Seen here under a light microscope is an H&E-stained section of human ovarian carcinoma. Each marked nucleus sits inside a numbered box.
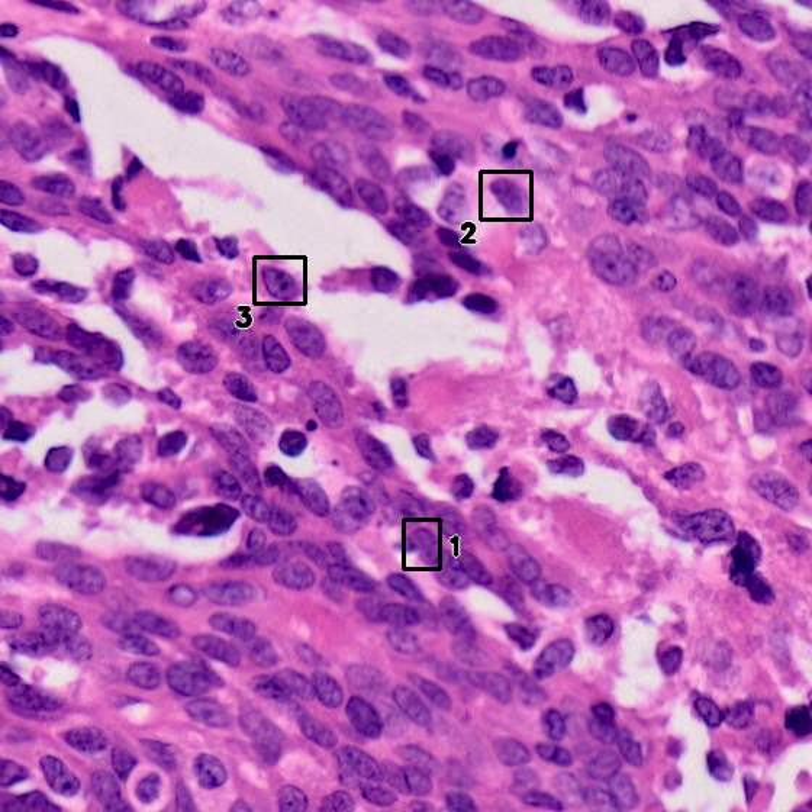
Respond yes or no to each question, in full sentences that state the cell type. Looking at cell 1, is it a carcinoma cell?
Yes, on this slide, the cell with number 1 is a carcinoma cell.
